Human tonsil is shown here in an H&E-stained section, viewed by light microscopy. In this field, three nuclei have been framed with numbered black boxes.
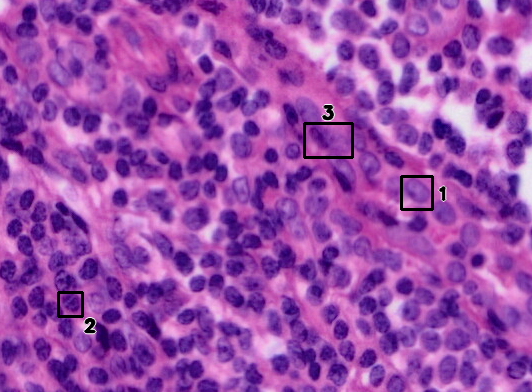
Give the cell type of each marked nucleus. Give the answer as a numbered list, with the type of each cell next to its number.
1. endothelial cell
2. plasma cell
3. endothelial cell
